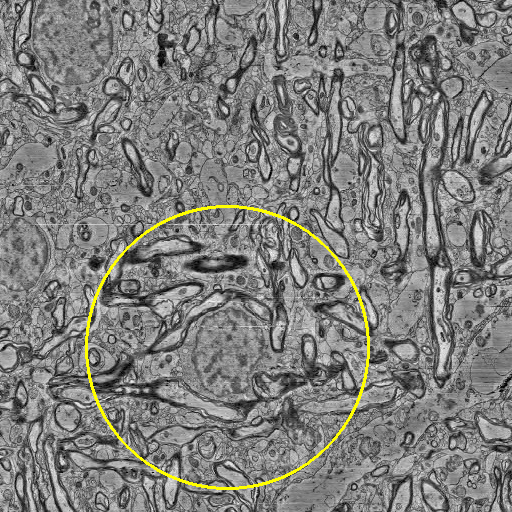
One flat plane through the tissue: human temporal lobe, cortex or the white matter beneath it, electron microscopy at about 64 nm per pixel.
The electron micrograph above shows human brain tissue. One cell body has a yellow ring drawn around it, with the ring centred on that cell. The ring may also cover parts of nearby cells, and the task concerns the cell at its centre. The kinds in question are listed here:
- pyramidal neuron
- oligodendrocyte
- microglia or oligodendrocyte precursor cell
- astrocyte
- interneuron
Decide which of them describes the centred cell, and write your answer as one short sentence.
The centred cell is an oligodendrocyte.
